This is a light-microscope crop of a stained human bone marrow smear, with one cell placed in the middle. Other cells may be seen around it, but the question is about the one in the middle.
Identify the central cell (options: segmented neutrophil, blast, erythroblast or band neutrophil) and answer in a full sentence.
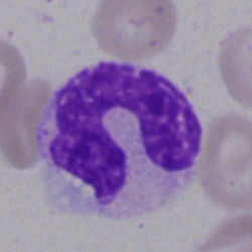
Where the crop is centred, there is a band neutrophil.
